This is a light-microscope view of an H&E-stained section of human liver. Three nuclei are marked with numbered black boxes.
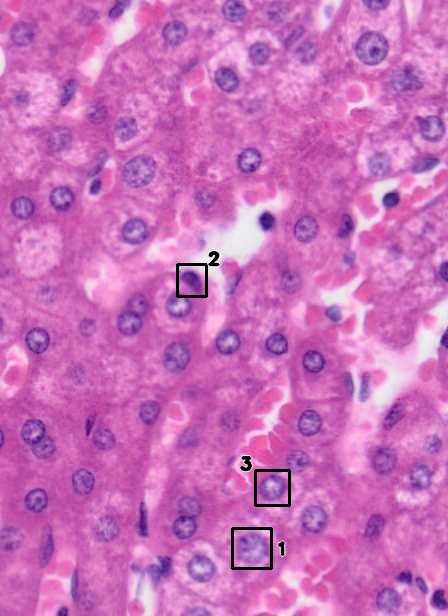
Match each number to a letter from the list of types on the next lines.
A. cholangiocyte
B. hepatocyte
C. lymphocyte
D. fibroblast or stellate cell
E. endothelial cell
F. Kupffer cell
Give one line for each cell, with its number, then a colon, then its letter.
1: B
2: D
3: B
